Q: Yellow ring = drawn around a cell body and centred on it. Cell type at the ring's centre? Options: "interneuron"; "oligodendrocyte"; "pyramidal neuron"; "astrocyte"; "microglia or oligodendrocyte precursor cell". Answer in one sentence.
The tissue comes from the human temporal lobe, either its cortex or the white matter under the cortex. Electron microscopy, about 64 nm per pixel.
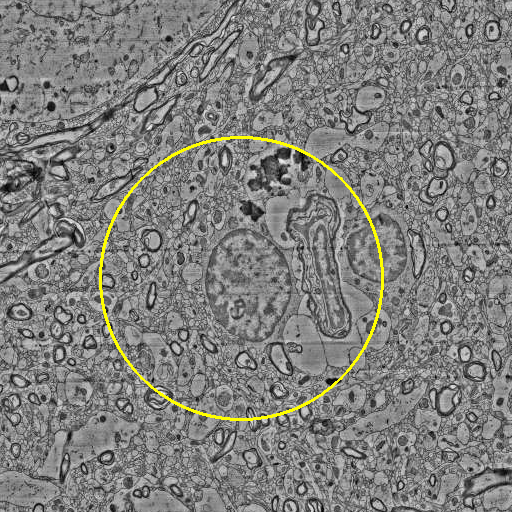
Centred in the ring is an oligodendrocyte.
